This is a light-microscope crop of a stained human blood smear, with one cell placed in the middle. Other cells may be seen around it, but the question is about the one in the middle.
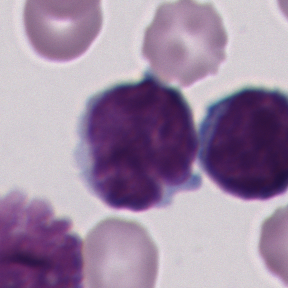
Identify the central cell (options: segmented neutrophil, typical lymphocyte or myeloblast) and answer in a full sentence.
Regarding the central cell, it is a typical lymphocyte.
